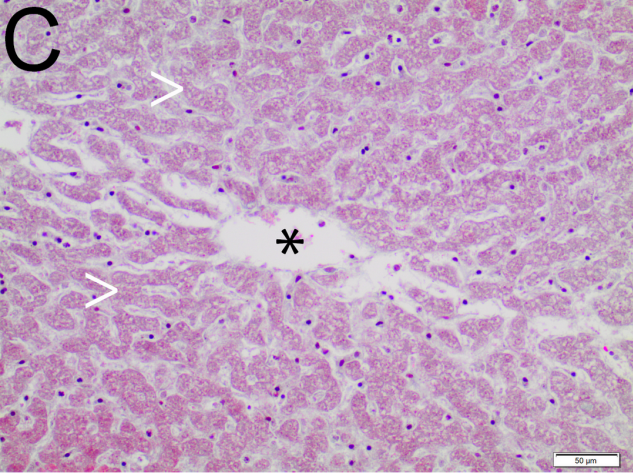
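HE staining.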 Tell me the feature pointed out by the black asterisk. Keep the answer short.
central vein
